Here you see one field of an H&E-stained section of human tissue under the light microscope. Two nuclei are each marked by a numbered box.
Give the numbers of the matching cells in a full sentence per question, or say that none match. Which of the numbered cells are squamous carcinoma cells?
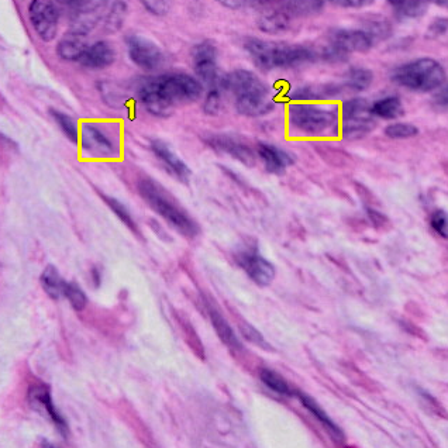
The sole numbered cell that is a squamous carcinoma cell is cell 2.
